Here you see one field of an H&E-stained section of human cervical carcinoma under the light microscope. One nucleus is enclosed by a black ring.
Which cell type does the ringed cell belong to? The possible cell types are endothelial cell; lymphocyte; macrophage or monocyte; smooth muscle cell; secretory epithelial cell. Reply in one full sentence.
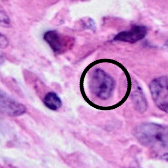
Placed in its cell category, the ringed cell is a macrophage or monocyte.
